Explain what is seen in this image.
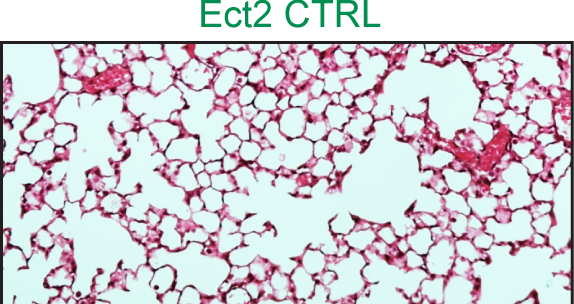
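This is lung parenchyma stained pink and purple, made up of many small, rounded air spaces packed closely together and separated by thin pink walls dotted with small purple nuclei. The tissue looks like normally subdivided alveolar lung, with many small alveoli lining the air spaces.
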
